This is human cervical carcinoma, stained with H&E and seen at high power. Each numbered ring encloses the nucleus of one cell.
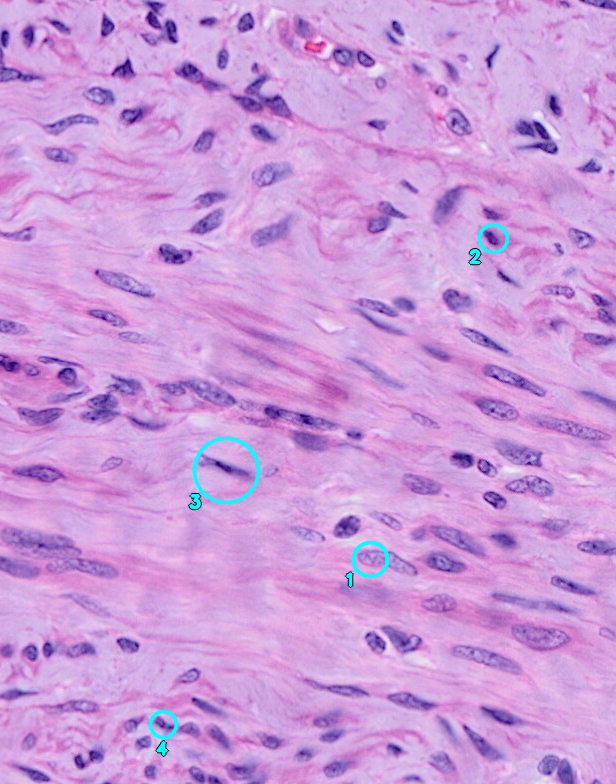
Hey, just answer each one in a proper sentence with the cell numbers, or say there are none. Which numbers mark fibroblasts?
Whereas cell 3 is a fibroblast, the other numbered cells are not.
